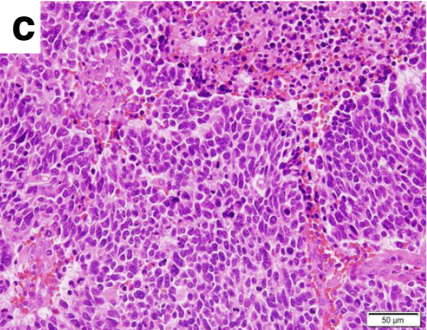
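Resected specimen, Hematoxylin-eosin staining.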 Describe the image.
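This shows tumor cells growing in solid, densely packed sheets separated by thin strands of pink stroma with small vessels. The cells have enlarged, oval to elongated, dark-staining nuclei with condensed chromatin and only a thin rim of cytoplasm, so nuclei crowd and overlap one another.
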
